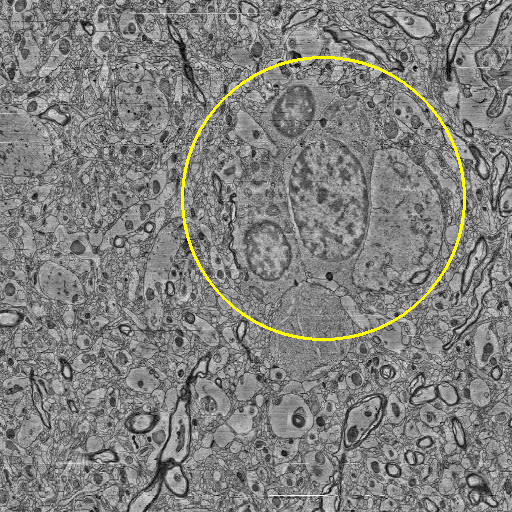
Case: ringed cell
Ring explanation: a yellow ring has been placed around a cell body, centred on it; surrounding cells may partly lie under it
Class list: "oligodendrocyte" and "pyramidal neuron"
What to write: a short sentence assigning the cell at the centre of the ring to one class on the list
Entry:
The cell at the ring's centre is an oligodendrocyte.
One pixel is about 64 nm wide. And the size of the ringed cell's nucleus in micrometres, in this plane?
About 8 by 5 micrometres in this plane; clearly longer than it is wide.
